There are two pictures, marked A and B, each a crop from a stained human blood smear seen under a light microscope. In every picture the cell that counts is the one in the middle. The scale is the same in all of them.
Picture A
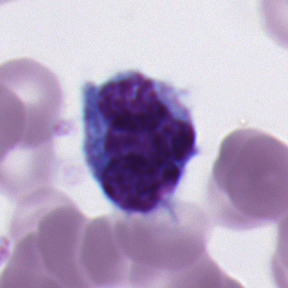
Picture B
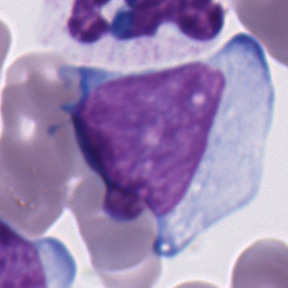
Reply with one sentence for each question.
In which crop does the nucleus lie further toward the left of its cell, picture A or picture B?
The nucleus in picture B lies further toward the left of its cell.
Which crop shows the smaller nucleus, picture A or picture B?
It is the nucleus in picture B; the one in picture A has about 2.5 times its area.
